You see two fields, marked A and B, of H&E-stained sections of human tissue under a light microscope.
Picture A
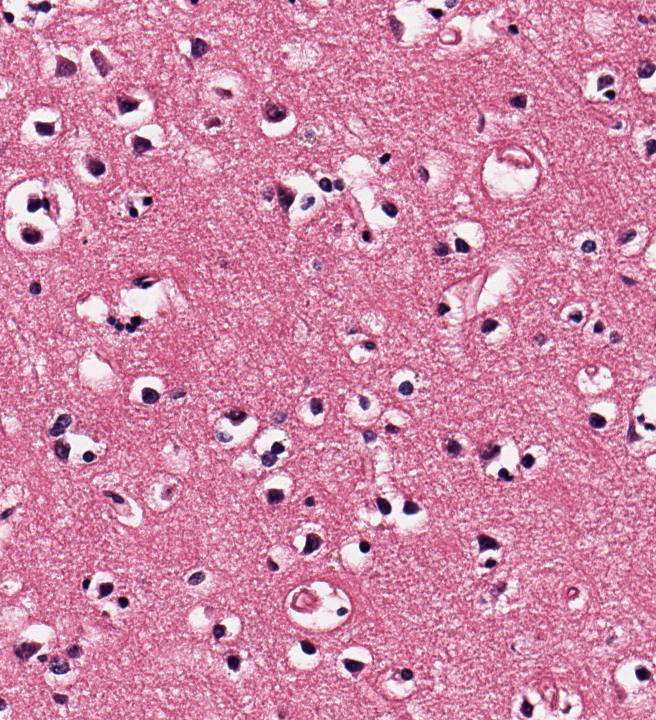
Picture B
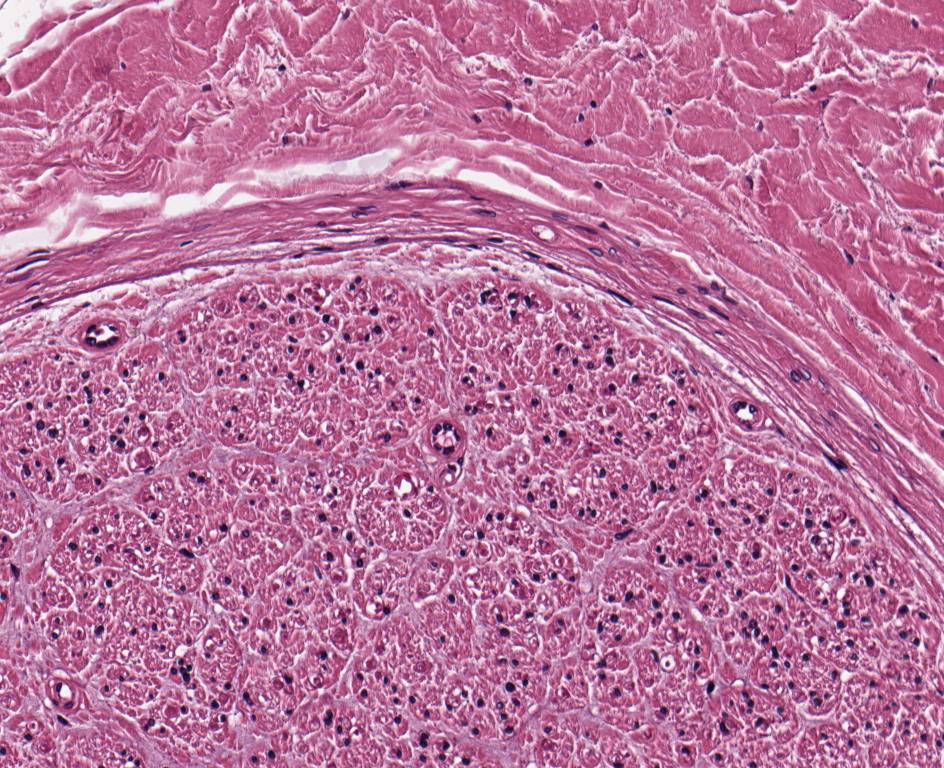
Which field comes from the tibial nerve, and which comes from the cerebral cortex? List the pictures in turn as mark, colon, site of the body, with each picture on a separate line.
A: cerebral cortex
B: tibial nerve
